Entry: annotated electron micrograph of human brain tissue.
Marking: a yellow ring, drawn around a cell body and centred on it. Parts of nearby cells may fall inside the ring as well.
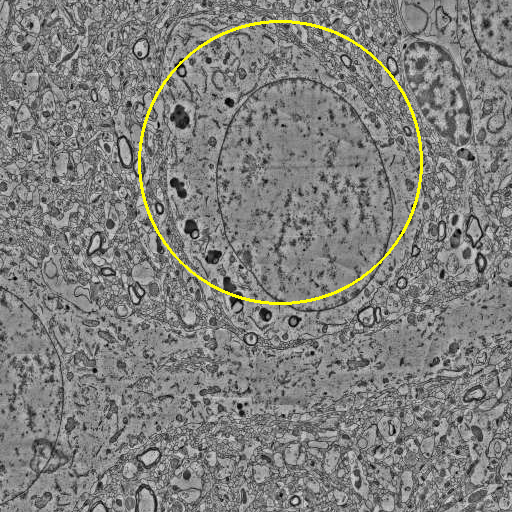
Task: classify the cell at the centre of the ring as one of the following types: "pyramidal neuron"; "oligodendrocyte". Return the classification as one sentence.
The marked cell is classified as a pyramidal neuron.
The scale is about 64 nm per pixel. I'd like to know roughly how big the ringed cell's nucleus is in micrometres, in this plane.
In this plane the nucleus measures roughly 15 by 11 micrometers.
